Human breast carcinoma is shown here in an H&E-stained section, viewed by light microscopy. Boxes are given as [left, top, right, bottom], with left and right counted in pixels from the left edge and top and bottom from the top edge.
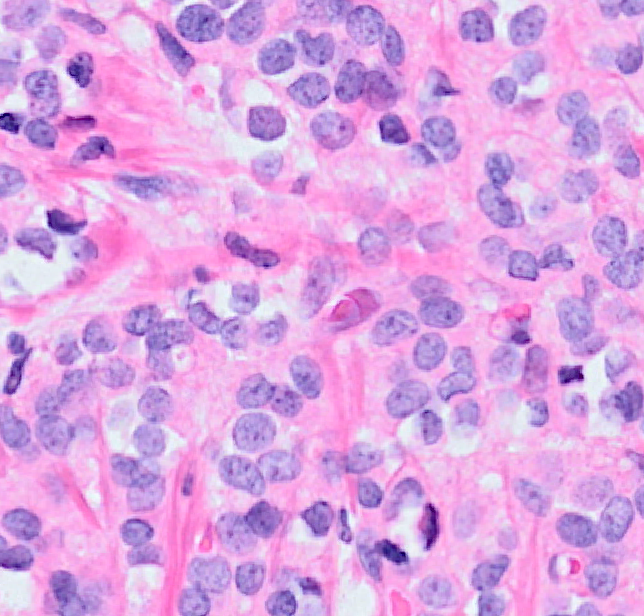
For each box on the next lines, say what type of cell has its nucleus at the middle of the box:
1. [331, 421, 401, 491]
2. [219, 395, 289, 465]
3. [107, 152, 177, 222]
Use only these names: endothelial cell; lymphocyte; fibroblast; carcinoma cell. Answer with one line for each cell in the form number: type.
1: carcinoma cell
2: carcinoma cell
3: fibroblast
